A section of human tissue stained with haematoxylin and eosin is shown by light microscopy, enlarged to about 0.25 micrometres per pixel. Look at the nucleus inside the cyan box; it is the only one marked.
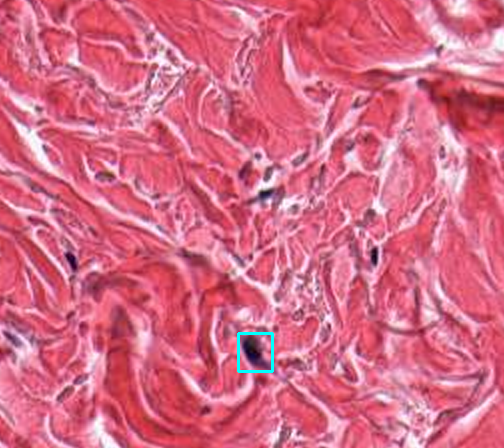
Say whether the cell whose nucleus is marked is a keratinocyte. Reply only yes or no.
no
